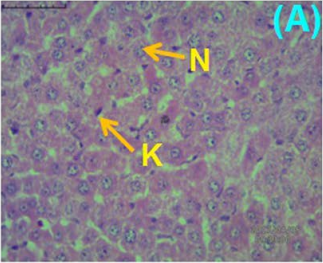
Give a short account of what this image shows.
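Liver parenchyma of polygonal hepatocytes with pink cytoplasm and central round pale nuclei with distinct nucleoli, arranged in regular cords. Narrow pale sinusoids run between the cords, with small dark elongated nuclei of lining cells along them.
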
